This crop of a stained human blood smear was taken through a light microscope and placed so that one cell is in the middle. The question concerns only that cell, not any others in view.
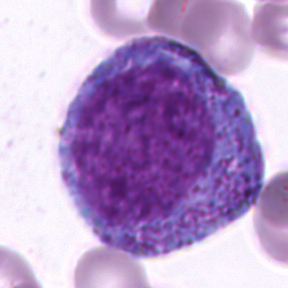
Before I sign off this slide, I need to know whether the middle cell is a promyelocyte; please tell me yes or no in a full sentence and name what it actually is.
Yes, the cell at the centre of the field is a promyelocyte.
